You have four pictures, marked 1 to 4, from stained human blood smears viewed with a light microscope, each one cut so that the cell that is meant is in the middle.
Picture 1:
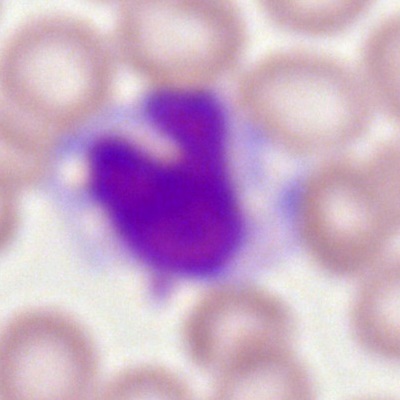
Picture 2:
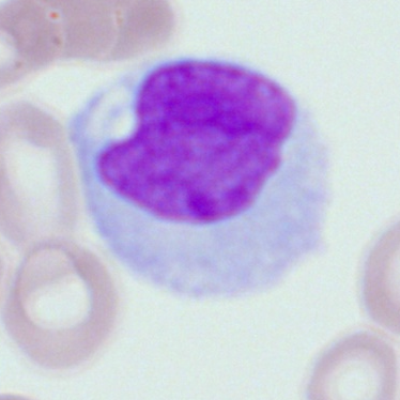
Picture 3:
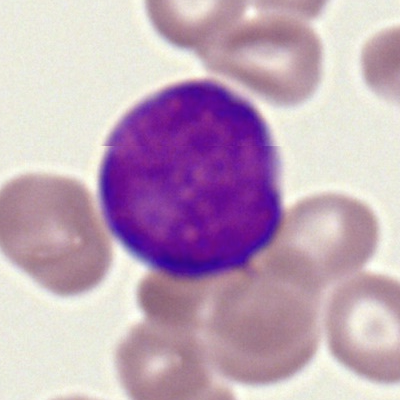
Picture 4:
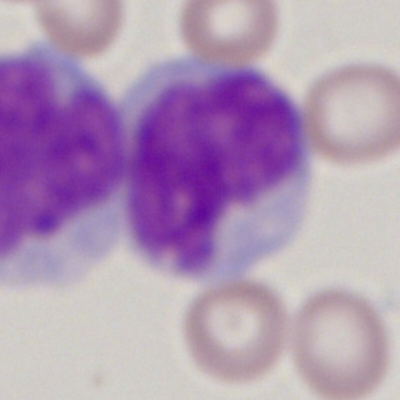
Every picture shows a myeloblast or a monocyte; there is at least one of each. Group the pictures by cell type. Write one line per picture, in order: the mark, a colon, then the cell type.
1: monocyte
2: monocyte
3: myeloblast
4: monocyte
